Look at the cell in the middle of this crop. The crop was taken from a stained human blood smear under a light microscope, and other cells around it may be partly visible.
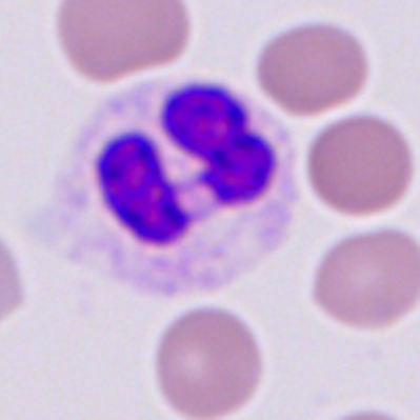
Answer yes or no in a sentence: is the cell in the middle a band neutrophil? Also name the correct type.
No, the cell in the middle is a segmented neutrophil, not a band neutrophil.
